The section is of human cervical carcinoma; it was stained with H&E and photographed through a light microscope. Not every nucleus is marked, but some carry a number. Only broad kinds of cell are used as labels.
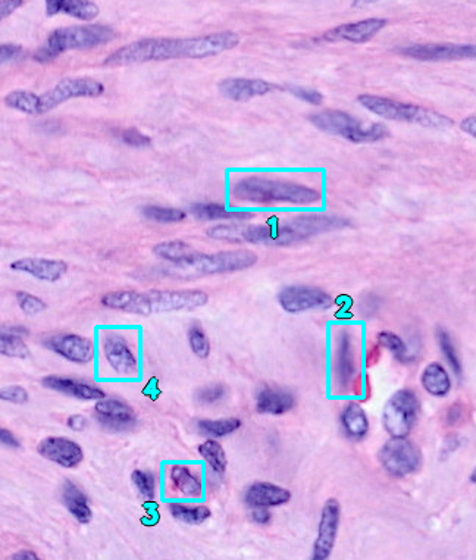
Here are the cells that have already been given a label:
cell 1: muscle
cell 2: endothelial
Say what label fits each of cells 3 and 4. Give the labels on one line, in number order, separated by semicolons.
endothelial; muscle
